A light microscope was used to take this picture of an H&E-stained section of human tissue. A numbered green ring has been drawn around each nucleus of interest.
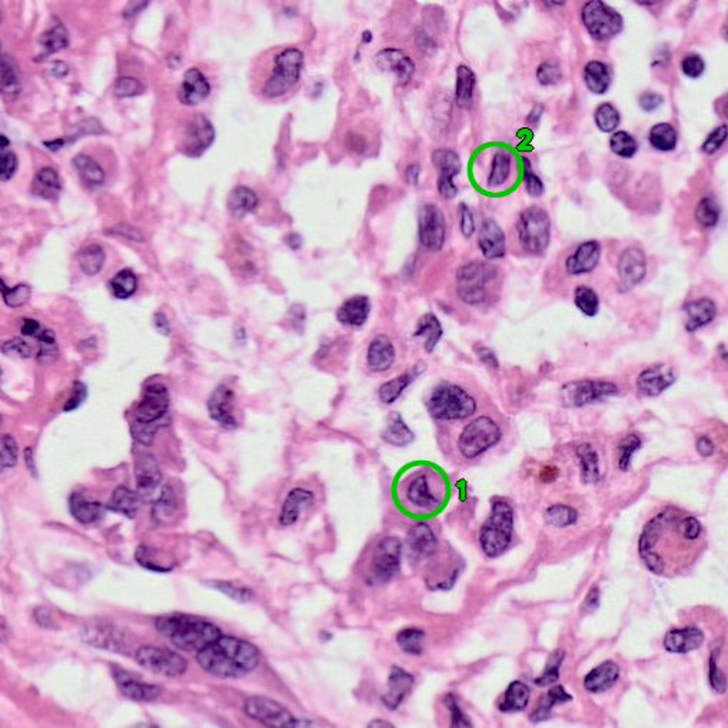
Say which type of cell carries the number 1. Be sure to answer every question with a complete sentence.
The cell given label 1 is a melanoma cell.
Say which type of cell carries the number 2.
The numbered cell 2 is identified here as a macrophage or monocyte.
